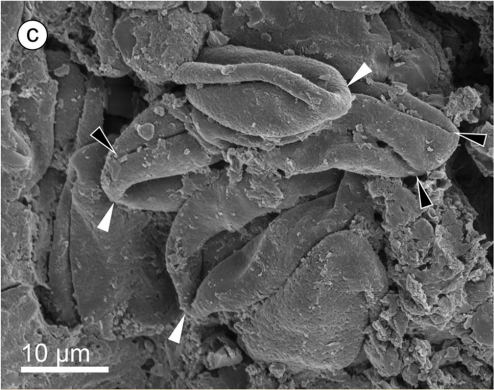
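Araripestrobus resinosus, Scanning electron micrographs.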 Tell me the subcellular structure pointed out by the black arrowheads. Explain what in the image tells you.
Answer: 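The black arrowheads point to narrow folds along the sides of the grains. These folds end in sharp points.
Conclusion: lateral pseudosulci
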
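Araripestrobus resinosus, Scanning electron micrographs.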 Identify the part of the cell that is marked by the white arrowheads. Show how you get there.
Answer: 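The white arrowheads sit at the rounded ends of a long furrow running along the grain. The furrow runs along the long axis of elongate grains.
Main sulcus.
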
